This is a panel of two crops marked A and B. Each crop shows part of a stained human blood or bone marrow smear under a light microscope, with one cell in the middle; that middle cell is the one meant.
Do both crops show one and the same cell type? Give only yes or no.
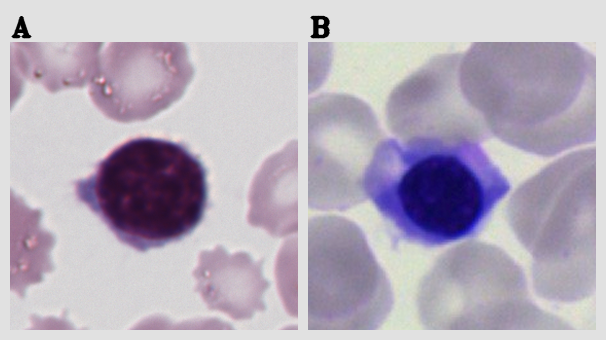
no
